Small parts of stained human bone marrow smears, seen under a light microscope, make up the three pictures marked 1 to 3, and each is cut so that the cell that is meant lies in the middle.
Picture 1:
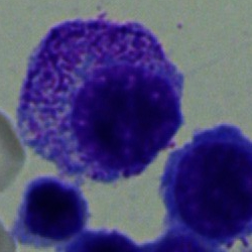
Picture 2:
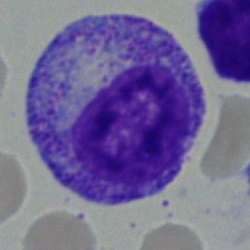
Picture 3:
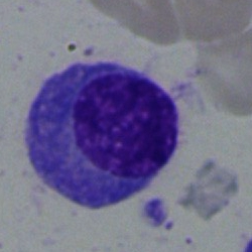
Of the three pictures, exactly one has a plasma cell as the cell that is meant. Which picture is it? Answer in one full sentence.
It is picture 3 that shows the plasma cell.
